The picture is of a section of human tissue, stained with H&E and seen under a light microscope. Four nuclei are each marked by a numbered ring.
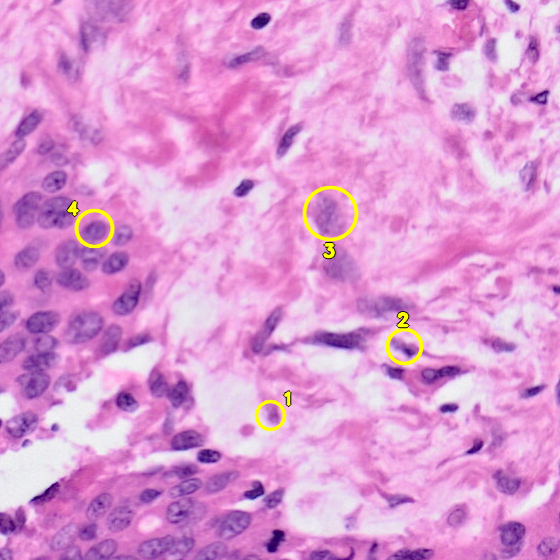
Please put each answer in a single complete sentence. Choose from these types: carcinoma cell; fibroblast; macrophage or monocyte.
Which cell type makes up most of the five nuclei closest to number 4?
Of the five nuclei nearest to number 4, most belong to carcinoma cells.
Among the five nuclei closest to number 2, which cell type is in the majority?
Fibroblasts account for more than half of the five nuclei nearest to number 2.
